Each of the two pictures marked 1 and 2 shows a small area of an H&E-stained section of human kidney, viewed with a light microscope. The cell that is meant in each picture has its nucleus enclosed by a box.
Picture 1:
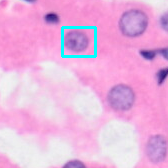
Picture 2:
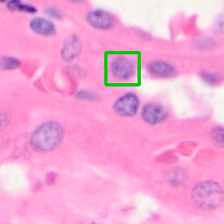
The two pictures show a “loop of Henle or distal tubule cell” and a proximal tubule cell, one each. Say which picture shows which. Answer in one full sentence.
Picture 1 shows a proximal tubule cell and picture 2 shows a “loop of Henle or distal tubule cell”.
